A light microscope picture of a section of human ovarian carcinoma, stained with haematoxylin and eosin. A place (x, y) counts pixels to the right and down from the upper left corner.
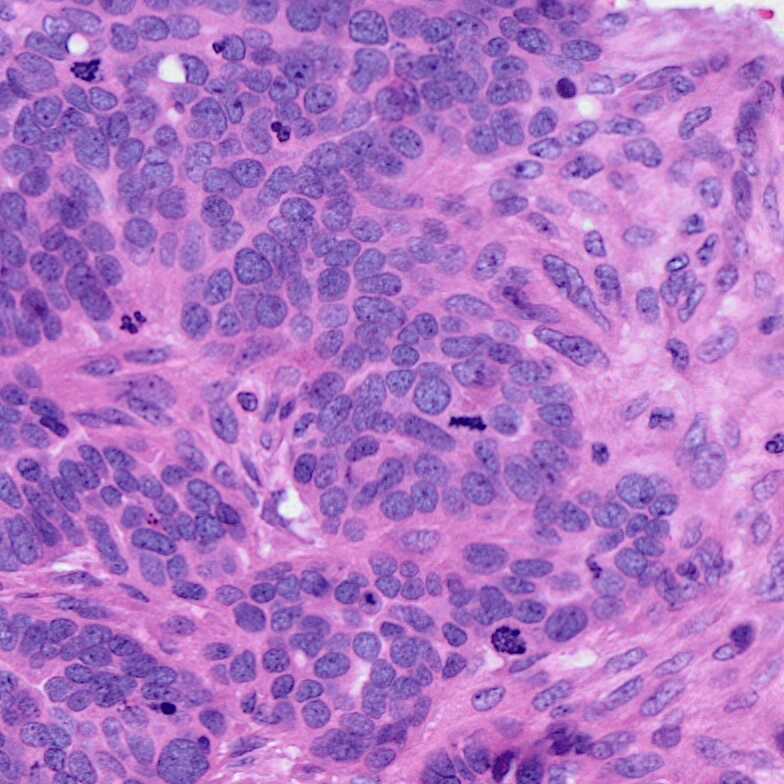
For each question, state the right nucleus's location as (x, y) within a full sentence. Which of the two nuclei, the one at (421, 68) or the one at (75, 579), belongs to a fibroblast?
The nucleus at (75, 579) is the one that belongs to a fibroblast.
